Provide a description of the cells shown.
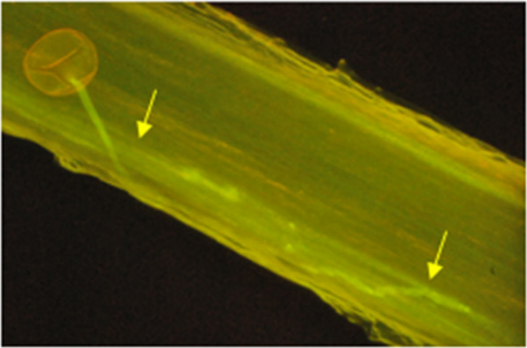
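A pollen grain and its pollen tube are seen on and within a long strand of yellow-green fluorescing tissue running diagonally across the field. The grain at the upper left is round with an orange-fluorescing wall. A thin green tube extends from the grain downward into the tissue. Further along the tissue, short, discontinuous bright green streaks lie among the longitudinal striations, two of them marked by arrows. The tissue margins are sharp against a dark background.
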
